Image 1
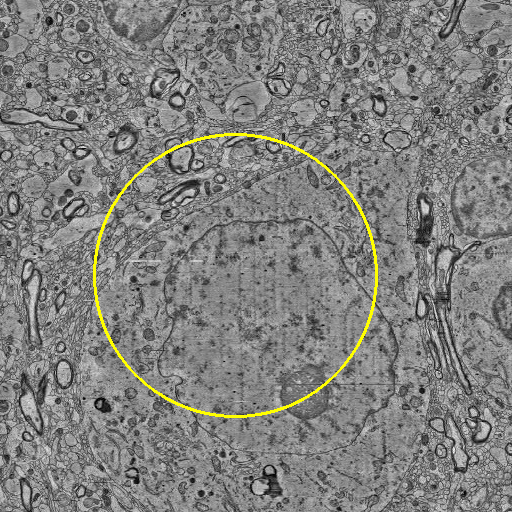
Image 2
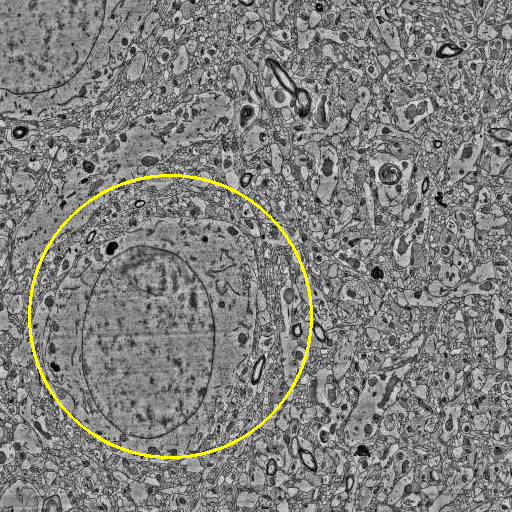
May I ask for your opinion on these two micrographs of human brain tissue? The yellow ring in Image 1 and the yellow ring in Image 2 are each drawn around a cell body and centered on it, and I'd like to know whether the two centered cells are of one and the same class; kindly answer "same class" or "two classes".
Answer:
same class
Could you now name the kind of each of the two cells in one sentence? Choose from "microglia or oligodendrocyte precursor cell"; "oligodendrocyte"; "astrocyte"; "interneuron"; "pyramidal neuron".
In each picture the ringed cell is a pyramidal neuron.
